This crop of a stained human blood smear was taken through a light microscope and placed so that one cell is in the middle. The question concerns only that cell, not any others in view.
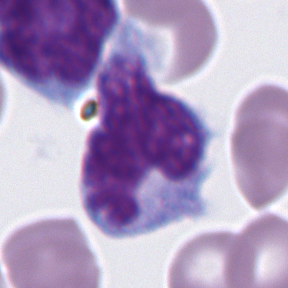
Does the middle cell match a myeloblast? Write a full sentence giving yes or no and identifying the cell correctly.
No, mark the middle cell as a monocyte, not a myeloblast.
